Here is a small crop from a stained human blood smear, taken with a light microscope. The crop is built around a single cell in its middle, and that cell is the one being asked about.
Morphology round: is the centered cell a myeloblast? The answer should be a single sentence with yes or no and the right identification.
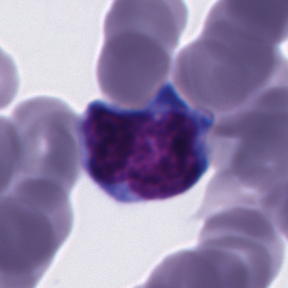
No, the centred cell is a typical lymphocyte, and it is not a myeloblast.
